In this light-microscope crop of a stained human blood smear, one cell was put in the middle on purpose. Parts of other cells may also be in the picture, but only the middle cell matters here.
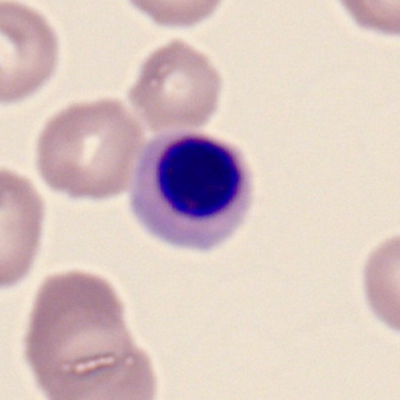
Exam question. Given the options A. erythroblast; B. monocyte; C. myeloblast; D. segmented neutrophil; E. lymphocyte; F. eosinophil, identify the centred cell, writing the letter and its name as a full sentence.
Option A gives the correct identity of the central cell, namely an erythroblast.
